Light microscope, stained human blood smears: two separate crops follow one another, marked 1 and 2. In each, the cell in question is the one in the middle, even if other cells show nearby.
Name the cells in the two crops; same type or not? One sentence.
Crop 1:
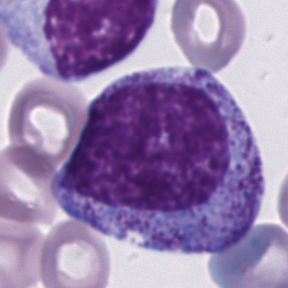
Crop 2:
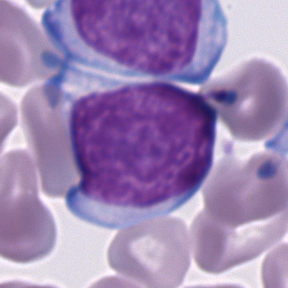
No, crop 1 shows a promyelocyte and crop 2 a myeloblast.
